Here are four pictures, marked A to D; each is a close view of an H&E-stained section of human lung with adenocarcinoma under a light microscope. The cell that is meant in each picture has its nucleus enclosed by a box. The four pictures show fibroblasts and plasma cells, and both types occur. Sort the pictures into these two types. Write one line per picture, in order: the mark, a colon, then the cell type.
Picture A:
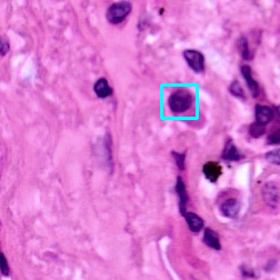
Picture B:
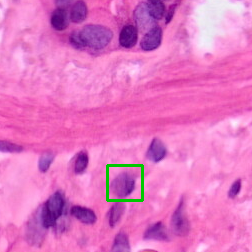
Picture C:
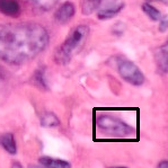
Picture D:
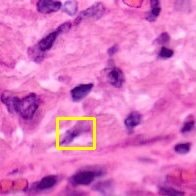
A: plasma cell
B: fibroblast
C: fibroblast
D: fibroblast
